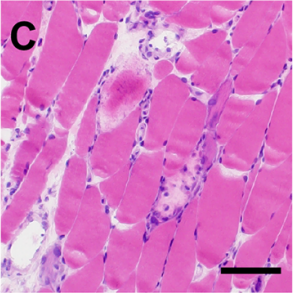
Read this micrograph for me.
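Skeletal muscle in longitudinal to oblique section, showing pink muscle fibers with small dark nuclei at their edges. A few fibers are pale and broken up, with their cytoplasm filled by small round nuclei, consistent with necrosis, while the rest of the fibers look intact. There is no dense infiltrate of lymphocytes between the fibers.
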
